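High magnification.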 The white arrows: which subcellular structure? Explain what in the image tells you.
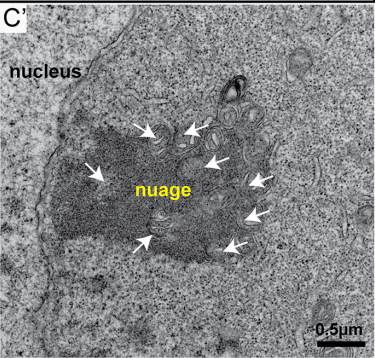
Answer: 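Mitochondria. Small oval organelles with internal membranes (cristae) ring the dense mass. The organelles are bounded by double membranes.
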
